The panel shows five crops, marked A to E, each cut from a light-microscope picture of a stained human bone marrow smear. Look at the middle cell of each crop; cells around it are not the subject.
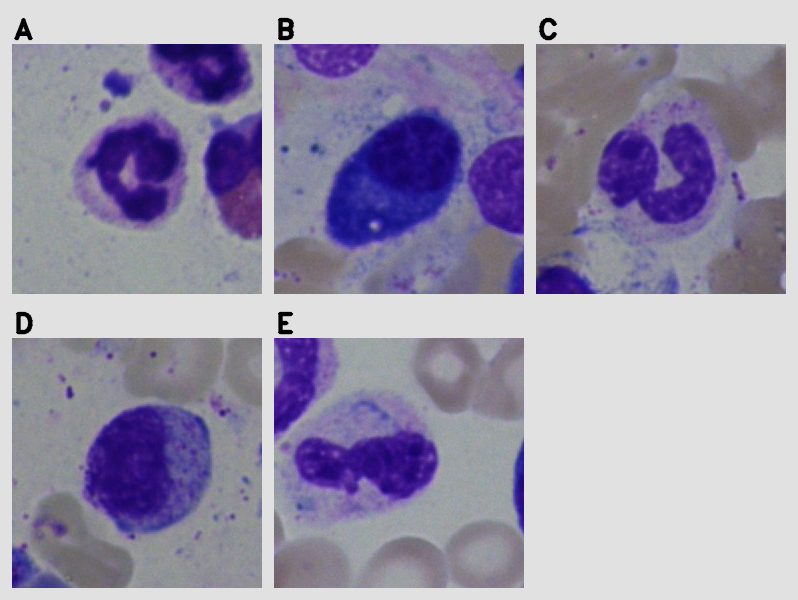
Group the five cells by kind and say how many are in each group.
segmented neutrophil: 3
plasma cell: 1
myelocyte: 1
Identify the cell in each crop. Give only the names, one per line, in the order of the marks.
segmented neutrophil
plasma cell
segmented neutrophil
myelocyte
segmented neutrophil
